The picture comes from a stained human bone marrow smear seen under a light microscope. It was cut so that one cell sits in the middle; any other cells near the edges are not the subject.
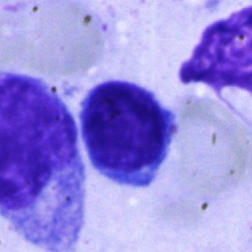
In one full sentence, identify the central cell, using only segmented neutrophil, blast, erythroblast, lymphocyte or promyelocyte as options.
In the center of this field lies a lymphocyte.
